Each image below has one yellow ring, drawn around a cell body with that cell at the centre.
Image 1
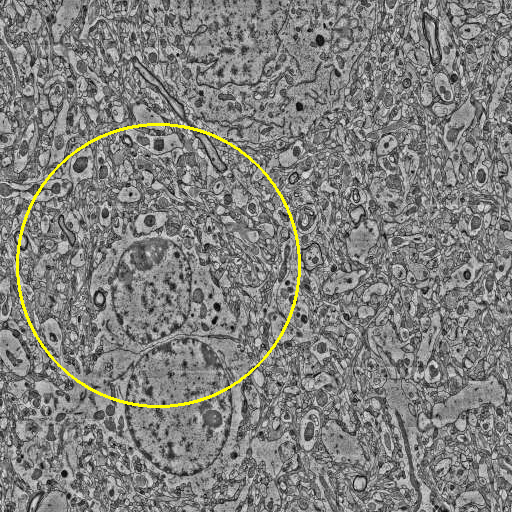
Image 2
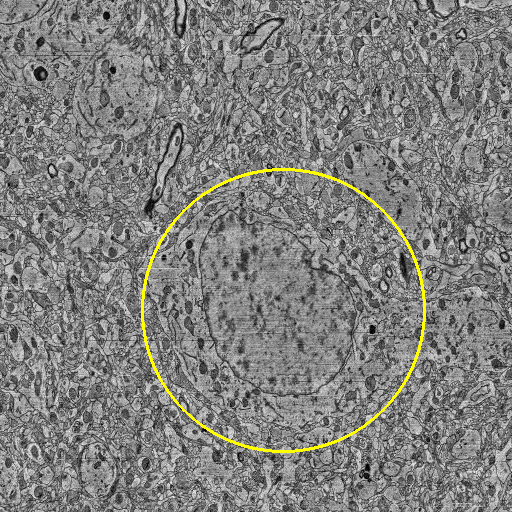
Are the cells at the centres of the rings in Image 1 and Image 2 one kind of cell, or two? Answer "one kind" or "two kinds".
two kinds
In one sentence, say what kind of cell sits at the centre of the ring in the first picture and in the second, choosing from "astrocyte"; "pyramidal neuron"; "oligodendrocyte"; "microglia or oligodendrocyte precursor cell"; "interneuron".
The first picture's ringed cell is an astrocyte, while the second picture's is a pyramidal neuron.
